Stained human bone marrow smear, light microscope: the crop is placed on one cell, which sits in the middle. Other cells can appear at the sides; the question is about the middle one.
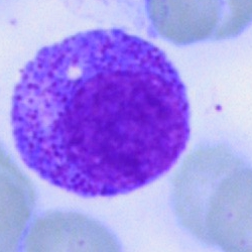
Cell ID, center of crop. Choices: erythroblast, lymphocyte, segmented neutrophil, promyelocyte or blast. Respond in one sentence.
The crop shows a promyelocyte in its centre.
